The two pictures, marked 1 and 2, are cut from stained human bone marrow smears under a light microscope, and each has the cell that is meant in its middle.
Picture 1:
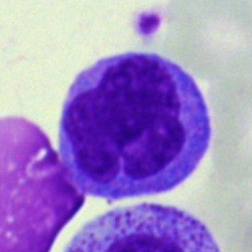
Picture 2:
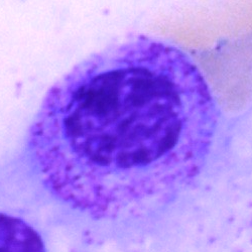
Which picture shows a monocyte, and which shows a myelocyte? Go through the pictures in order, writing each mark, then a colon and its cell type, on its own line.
1: monocyte
2: myelocyte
